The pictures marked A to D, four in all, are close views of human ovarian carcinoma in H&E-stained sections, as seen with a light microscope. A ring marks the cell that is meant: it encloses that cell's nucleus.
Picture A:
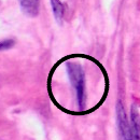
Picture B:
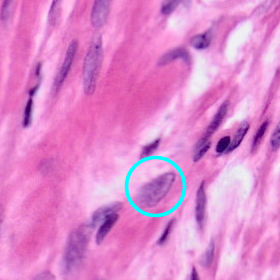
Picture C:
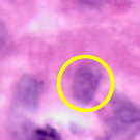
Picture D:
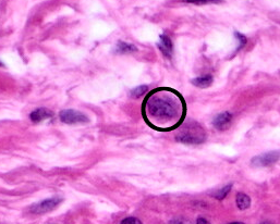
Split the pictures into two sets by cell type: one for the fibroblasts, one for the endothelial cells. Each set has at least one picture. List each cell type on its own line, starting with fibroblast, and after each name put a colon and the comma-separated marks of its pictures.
fibroblast: A, B, C
endothelial cell: D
